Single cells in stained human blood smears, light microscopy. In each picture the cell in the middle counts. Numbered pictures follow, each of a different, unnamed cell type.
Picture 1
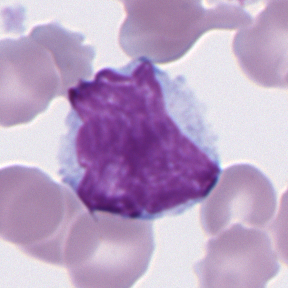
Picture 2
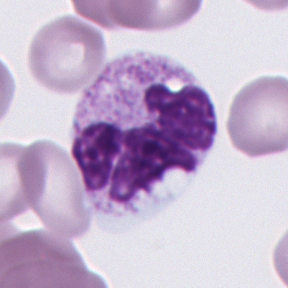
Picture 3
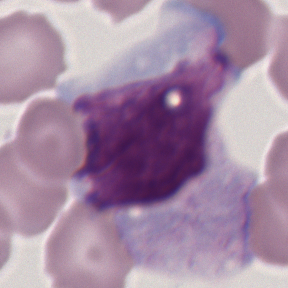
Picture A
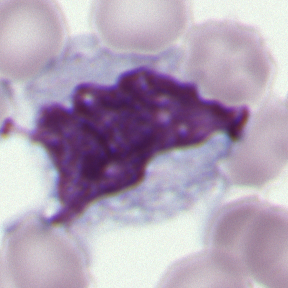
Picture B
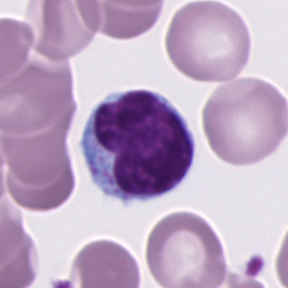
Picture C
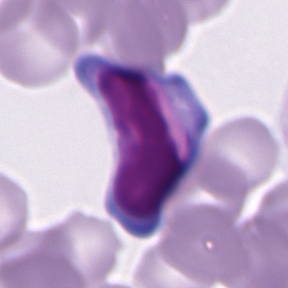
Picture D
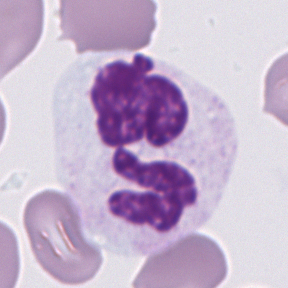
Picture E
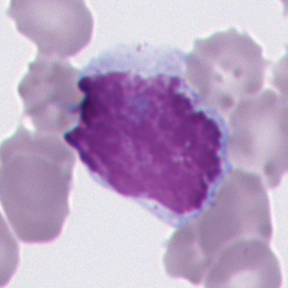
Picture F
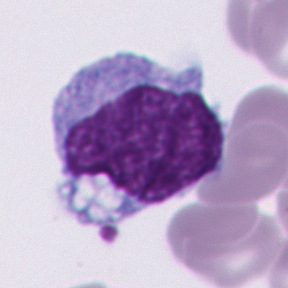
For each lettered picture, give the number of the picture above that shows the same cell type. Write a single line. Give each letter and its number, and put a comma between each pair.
A 3, B 1, C 1, D 2, E 1, F 3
